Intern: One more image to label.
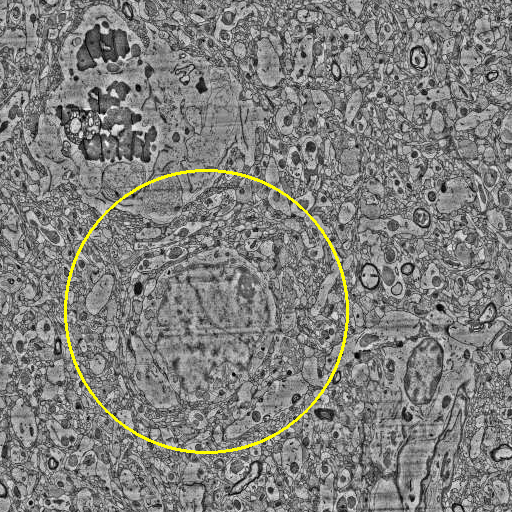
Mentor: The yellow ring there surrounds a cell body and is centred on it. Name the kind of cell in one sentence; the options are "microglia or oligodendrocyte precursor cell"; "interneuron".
The ring marks the cell body of an interneuron.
